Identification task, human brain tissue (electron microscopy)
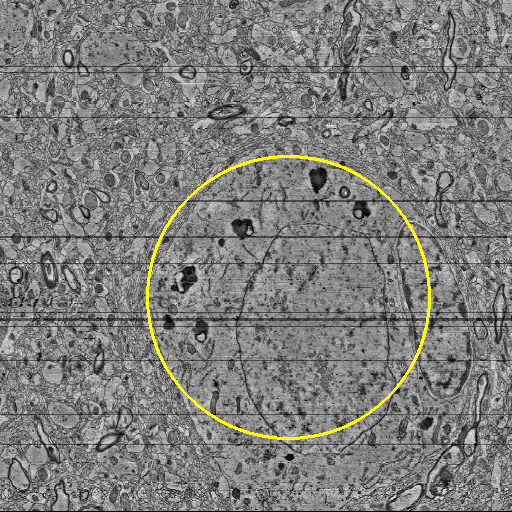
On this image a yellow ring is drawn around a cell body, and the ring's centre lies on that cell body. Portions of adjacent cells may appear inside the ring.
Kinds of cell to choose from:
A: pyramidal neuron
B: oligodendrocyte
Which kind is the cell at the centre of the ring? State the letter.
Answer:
A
